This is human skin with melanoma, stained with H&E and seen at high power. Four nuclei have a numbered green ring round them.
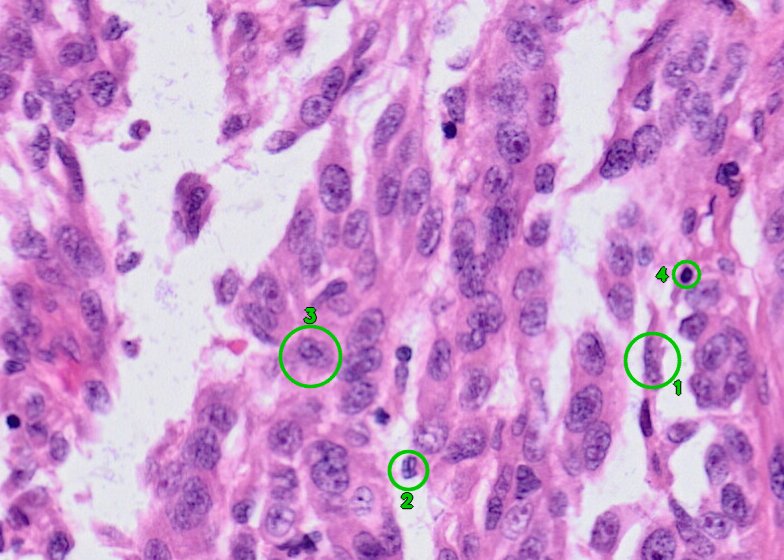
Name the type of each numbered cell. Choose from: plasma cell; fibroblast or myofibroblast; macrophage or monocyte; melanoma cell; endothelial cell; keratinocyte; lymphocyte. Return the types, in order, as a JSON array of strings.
["melanoma cell", "lymphocyte", "melanoma cell", "lymphocyte"]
